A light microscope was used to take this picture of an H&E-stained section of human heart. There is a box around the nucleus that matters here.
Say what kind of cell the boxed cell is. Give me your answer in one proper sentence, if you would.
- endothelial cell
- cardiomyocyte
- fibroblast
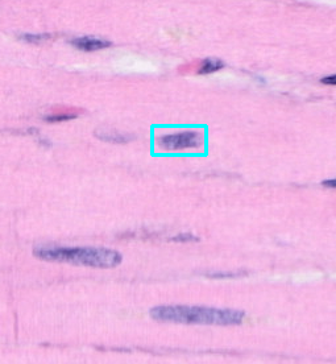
Considered by cell type, the boxed cell is an endothelial cell.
